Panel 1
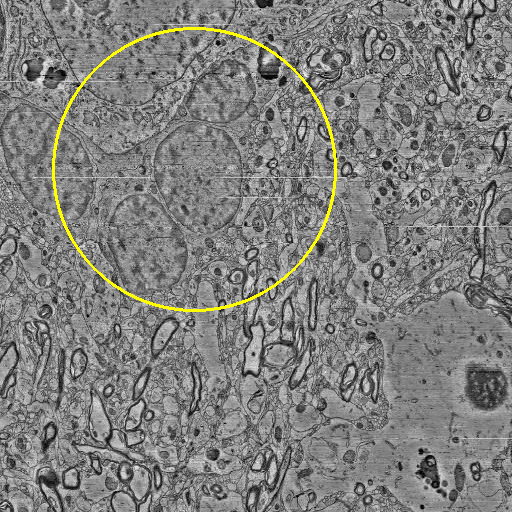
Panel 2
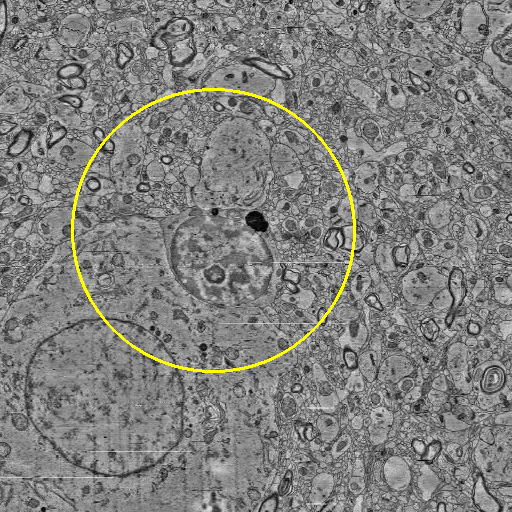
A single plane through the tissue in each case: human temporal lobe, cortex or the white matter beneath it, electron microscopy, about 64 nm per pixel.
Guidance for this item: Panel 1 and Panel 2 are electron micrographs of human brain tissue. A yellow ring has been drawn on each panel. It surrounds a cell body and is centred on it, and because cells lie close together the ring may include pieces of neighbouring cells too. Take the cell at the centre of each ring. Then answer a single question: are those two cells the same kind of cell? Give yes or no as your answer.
yes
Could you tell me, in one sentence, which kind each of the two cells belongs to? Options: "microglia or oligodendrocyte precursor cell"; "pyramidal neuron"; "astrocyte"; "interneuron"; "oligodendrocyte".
The cell in the first picture is an oligodendrocyte, and so is the one in the second.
